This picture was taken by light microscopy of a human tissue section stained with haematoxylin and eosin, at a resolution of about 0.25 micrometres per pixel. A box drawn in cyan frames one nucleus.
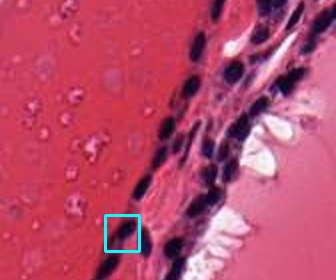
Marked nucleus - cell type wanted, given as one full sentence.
The nucleus that has been marked belongs to a thyroid follicular cell.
